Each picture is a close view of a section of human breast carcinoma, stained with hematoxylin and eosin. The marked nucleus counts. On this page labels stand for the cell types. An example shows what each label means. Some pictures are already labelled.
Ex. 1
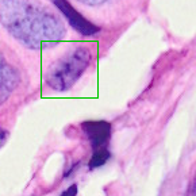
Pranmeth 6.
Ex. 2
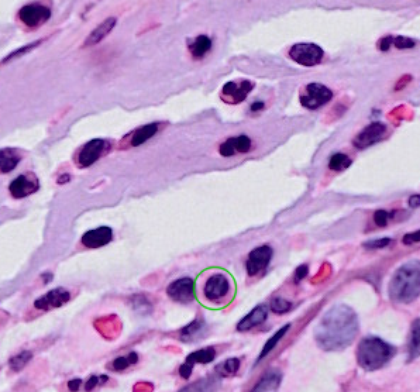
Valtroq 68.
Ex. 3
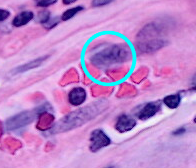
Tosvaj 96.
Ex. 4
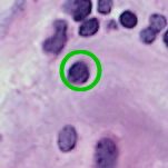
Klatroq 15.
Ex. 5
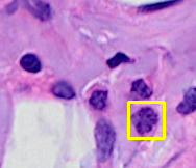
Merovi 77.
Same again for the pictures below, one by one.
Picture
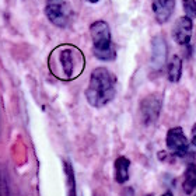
Merovi 77.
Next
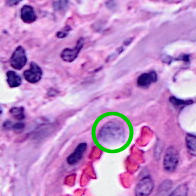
Tosvaj 96.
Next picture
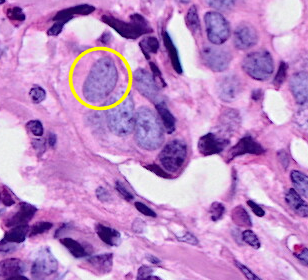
Pranmeth 6.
